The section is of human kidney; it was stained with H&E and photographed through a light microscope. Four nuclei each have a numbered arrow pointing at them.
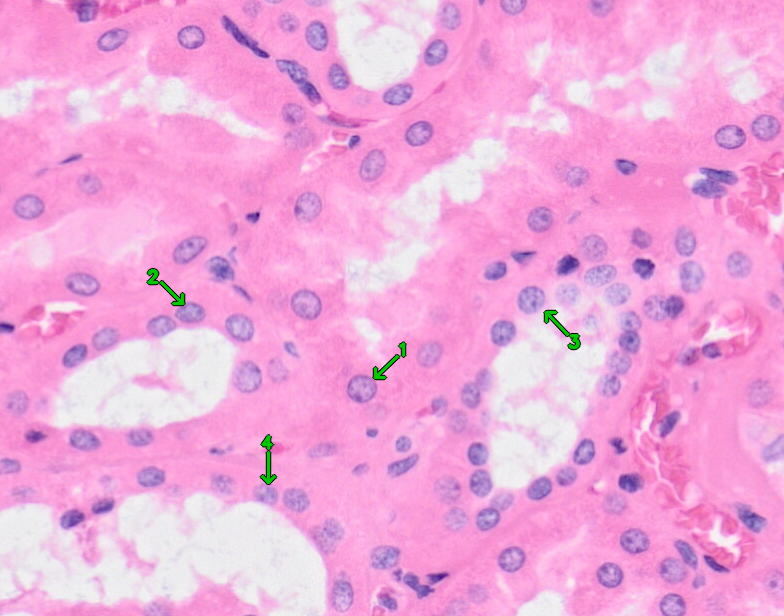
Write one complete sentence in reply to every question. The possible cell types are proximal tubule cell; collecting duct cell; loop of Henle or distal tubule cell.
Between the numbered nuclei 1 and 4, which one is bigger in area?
Nucleus 1 covers more area, about 1.5 times as much as nucleus 4.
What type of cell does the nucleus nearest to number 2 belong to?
Closest to number 2 lies the nucleus of a loop of Henle or distal tubule cell.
